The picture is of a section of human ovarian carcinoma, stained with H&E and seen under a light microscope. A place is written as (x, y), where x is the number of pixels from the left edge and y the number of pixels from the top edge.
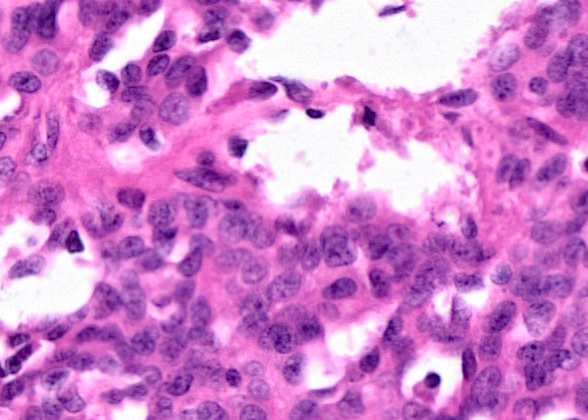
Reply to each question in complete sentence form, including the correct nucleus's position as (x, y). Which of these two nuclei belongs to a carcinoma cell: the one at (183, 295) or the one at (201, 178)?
It is the nucleus at (183, 295) that belongs to a carcinoma cell.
